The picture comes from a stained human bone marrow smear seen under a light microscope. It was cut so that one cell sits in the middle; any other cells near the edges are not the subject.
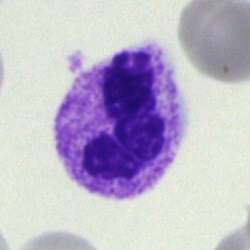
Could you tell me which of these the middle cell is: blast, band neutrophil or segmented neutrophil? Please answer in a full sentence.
Here the centrally located cell is a segmented neutrophil.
